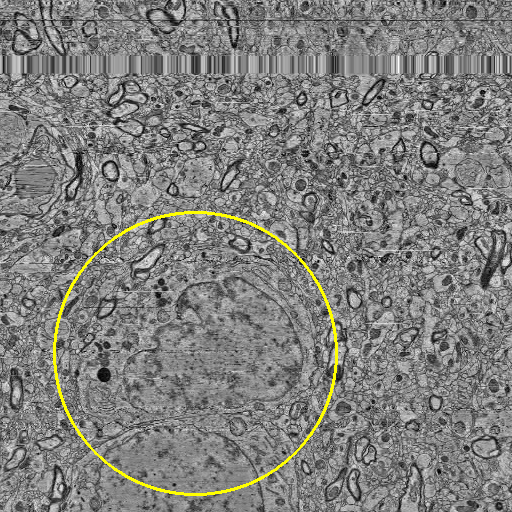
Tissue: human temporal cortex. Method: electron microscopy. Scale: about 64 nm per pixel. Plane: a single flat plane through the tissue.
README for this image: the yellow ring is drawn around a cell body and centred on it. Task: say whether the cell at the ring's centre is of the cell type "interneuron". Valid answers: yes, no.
yes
